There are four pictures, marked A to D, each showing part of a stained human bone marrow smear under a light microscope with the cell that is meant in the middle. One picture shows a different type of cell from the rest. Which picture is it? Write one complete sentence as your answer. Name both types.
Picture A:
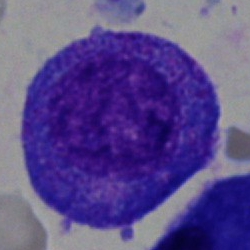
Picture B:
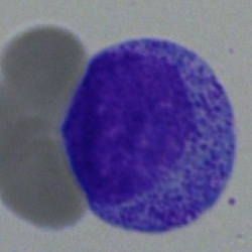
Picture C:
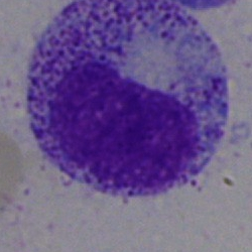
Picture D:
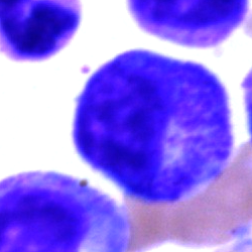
The different one is picture C; it shows a myelocyte, whereas all the others show promyelocytes.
